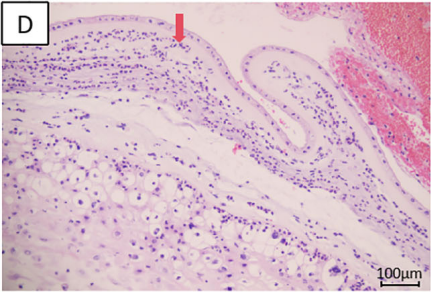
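This is a folded piece of placental membrane with acute chorioamnionitis. Along the upper edge and around the fold runs a single layer of flat to cuboidal epithelial cells. Beneath it, loose pale connective tissue contains many small dark nuclei arranged in streaks parallel to the surface. Lower left, the tissue shows pale cells with clear, bubbly cytoplasm. To the right, a mass of red blood cells fills the space beside the membrane.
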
